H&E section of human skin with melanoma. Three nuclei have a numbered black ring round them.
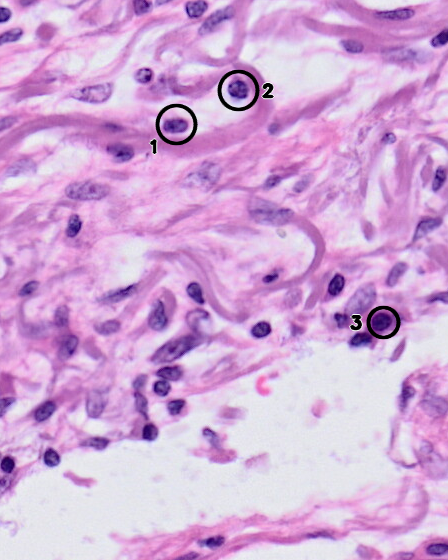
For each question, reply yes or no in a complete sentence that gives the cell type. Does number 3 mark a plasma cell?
Yes, the cell tagged with number 3 is a plasma cell.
